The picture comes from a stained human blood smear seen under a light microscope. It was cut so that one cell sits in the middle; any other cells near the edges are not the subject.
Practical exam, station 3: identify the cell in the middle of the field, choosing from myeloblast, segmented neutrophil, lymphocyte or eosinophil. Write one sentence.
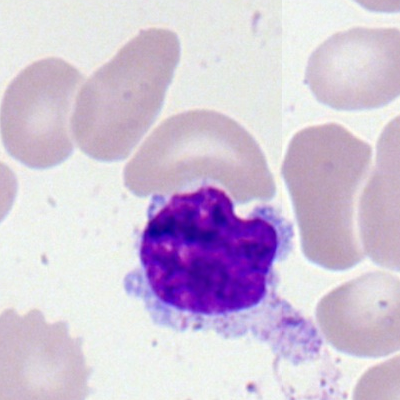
The cell sitting right in the middle is a lymphocyte.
